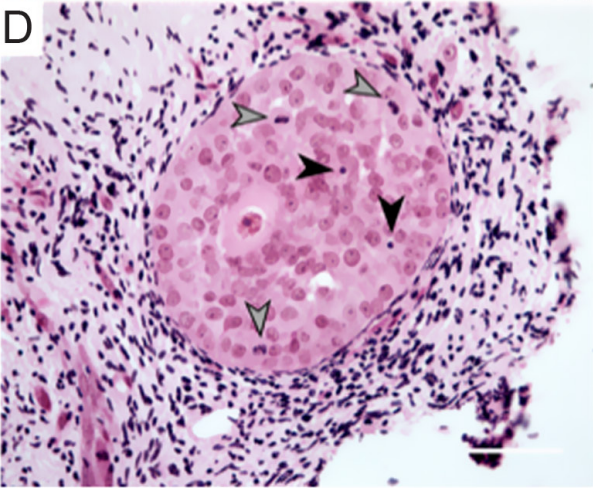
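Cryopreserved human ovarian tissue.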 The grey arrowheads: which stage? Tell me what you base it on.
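The marked cells lie within the granulosa layers. Each marked cell shows dark, condensed, elongated chromatin instead of a round nucleus.
Answer: granulosa cells undergoing mitosis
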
